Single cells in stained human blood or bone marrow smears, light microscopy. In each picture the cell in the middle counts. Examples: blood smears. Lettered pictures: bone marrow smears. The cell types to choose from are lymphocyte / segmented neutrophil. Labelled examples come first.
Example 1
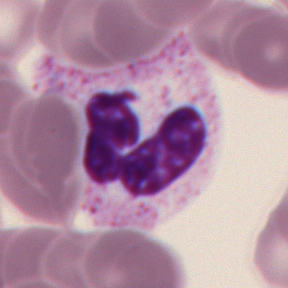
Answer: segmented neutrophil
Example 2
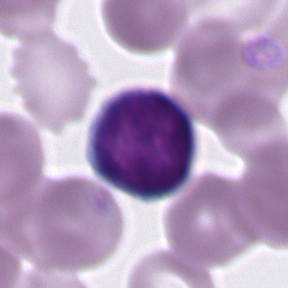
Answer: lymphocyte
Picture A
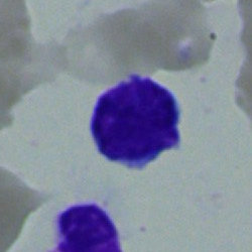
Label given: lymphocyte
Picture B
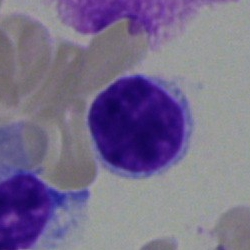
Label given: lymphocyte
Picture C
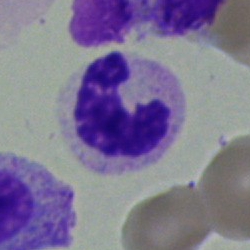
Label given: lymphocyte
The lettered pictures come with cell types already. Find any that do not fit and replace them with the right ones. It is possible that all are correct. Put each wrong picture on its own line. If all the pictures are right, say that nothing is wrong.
C should be segmented neutrophil, not lymphocyte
